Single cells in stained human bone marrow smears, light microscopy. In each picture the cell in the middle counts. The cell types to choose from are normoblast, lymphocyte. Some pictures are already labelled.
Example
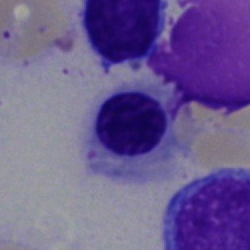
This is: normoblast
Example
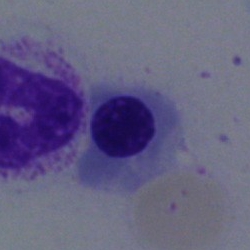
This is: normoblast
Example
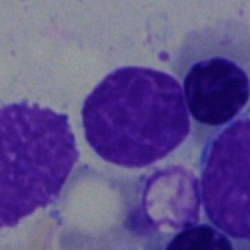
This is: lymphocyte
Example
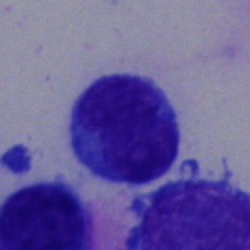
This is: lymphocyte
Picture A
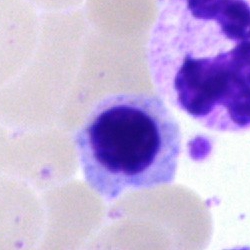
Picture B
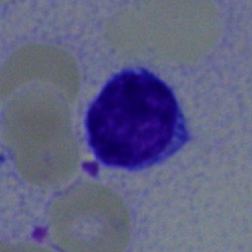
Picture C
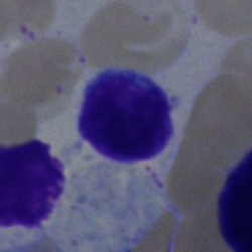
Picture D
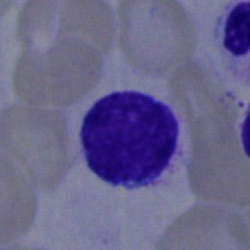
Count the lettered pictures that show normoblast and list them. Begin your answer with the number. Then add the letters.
1: A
